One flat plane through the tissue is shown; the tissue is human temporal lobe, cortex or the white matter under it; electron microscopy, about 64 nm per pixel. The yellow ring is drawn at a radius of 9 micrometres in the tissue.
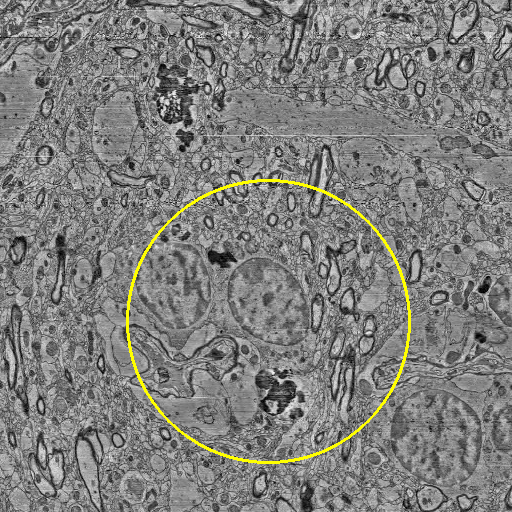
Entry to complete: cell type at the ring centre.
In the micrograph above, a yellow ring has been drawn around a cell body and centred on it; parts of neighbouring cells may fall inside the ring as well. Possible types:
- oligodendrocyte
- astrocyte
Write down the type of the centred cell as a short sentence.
The ring is centred on an oligodendrocyte.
